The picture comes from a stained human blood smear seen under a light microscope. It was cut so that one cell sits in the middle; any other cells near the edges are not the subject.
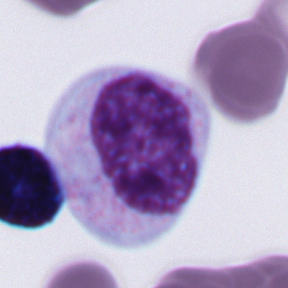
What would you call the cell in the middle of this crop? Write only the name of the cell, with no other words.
band neutrophil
